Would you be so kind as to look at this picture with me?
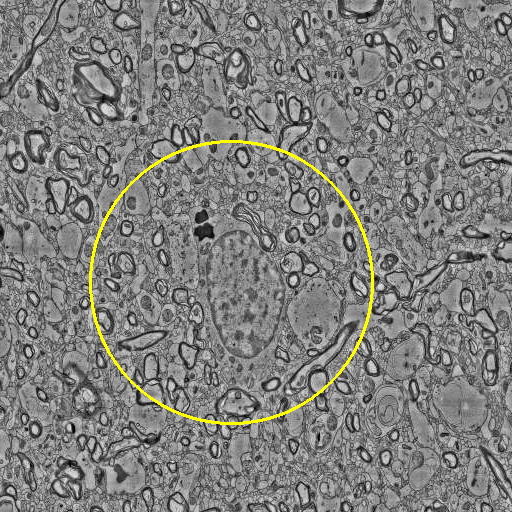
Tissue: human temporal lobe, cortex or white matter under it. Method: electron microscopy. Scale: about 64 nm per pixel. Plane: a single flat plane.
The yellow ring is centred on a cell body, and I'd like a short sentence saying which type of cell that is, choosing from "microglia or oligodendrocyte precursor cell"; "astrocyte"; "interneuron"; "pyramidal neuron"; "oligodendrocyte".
The cell body in the ring belongs to an oligodendrocyte.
